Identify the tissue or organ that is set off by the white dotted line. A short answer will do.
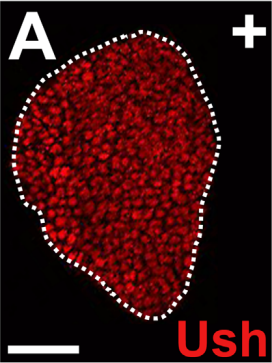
Lymph gland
